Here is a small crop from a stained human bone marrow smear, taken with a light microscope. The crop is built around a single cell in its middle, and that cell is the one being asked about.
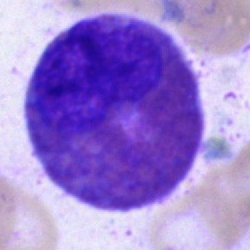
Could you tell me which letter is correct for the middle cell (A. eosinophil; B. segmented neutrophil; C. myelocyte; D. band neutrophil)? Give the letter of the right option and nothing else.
A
